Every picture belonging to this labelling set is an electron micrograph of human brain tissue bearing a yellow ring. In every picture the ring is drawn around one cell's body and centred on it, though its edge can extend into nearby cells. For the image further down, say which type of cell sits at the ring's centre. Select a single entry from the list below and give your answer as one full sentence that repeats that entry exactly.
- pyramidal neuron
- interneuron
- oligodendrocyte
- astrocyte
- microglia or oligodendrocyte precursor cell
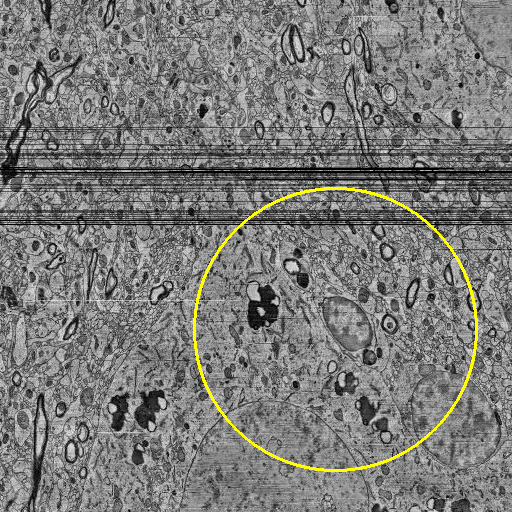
In the picture, a microglial cell or oligodendrocyte precursor cell is the cell at the centre of the yellow ring.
